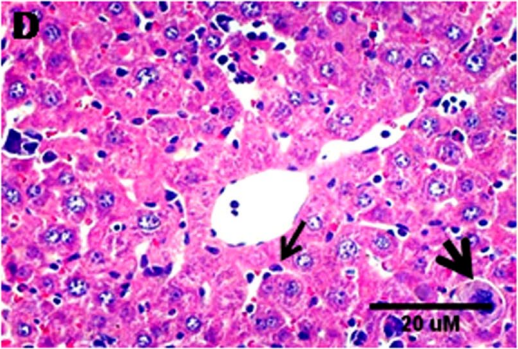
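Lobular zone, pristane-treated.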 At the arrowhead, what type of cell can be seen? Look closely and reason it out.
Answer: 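The arrowhead points to a large cell with a dark, lobulated nucleus. This cell is surrounded by a clear halo among the hepatocytes. On this evidence: megakaryocytes.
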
